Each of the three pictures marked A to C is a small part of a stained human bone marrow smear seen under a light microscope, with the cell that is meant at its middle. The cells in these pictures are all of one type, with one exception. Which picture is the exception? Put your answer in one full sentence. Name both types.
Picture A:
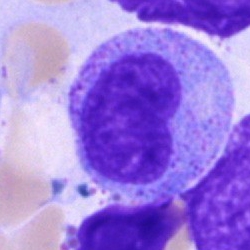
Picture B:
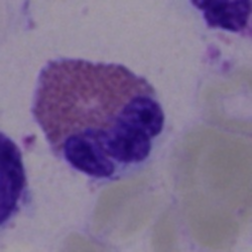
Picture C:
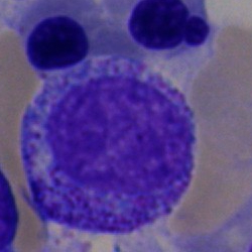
The different one is picture B; it shows an eosinophil, whereas all the others show promyelocytes.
